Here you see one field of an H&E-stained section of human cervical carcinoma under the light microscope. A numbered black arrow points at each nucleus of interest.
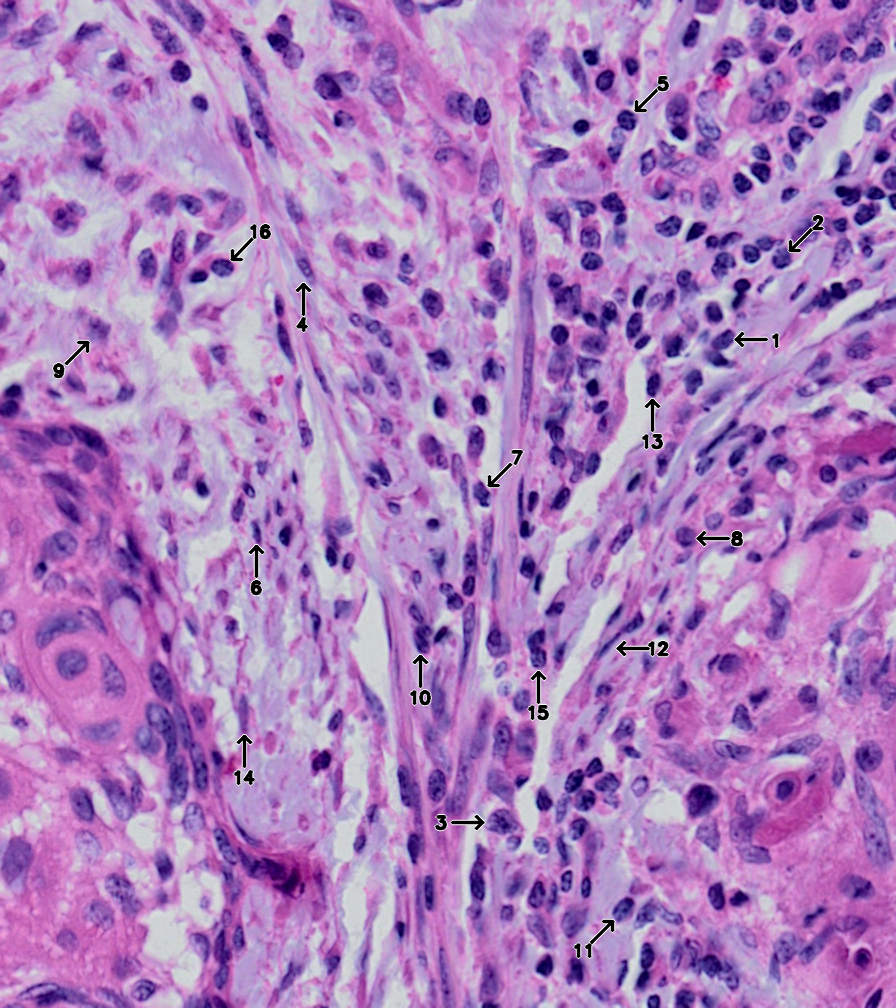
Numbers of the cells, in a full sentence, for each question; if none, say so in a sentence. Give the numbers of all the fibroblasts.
The cells numbered 4, 6, 9, 12 and 14 fall into the category of fibroblasts.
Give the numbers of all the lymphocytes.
To be specific, the cells numbered 1, 2, 5, 7, 10, 11, 13, 15 and 16 are lymphocytes.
